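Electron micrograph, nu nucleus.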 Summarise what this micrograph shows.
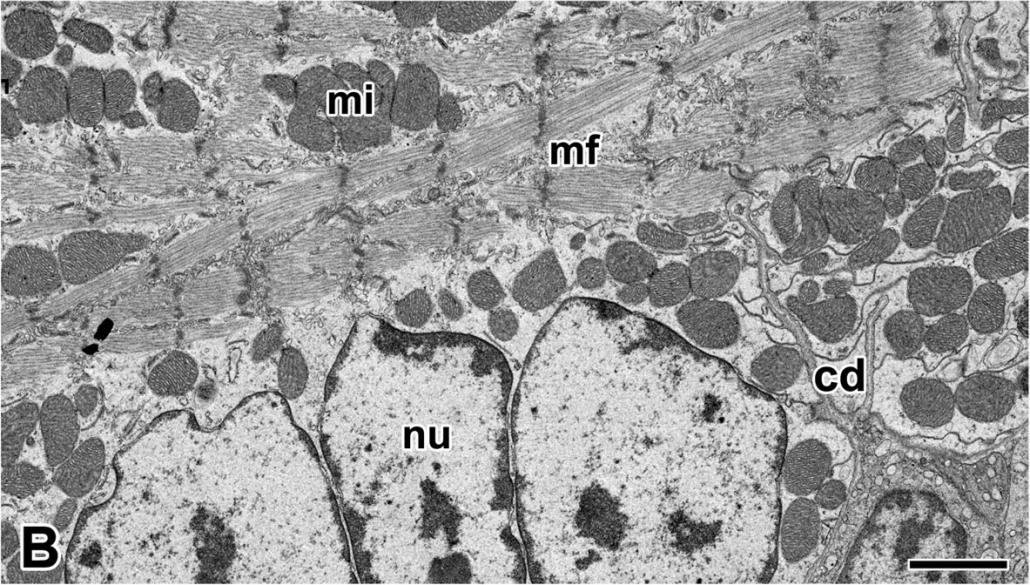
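Cardiac muscle cells seen by transmission electron microscopy. Bundles of myofibrils run diagonally across the upper half, showing regular striations with sarcomeres bounded by thin dark transverse Z-lines. Oval mitochondria with closely packed cristae lie in clusters between and alongside the myofibrils. To the right, tortuous, interdigitating cell membranes of an intercalated disc separate neighbouring cells, which are likewise rich in mitochondria.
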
